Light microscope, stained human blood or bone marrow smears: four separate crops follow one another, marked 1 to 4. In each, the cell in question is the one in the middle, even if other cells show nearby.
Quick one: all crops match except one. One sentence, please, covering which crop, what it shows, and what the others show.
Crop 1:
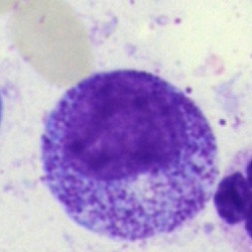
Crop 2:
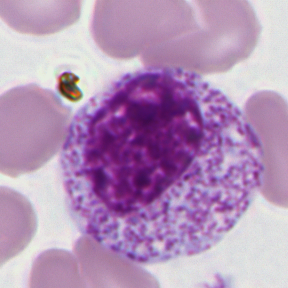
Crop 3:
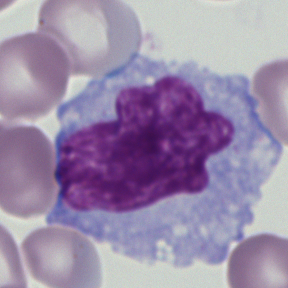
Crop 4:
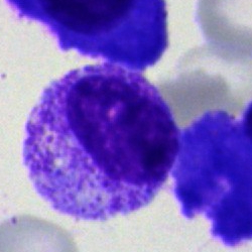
All the crops contain myelocytes save crop 3, where there is a monocyte.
